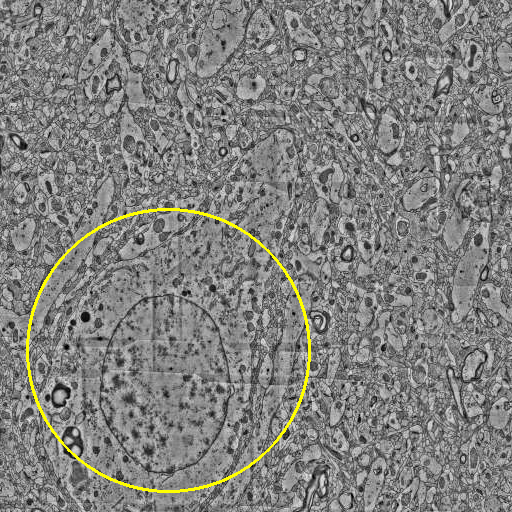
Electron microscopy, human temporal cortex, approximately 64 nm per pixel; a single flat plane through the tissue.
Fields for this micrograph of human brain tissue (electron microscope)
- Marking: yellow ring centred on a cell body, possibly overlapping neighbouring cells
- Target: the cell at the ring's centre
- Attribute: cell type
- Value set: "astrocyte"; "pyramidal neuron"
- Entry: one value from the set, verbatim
pyramidal neuron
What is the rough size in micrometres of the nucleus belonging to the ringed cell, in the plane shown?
The ringed cell's nucleus is about 11 micrometres long and 8 micrometres wide in this plane.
